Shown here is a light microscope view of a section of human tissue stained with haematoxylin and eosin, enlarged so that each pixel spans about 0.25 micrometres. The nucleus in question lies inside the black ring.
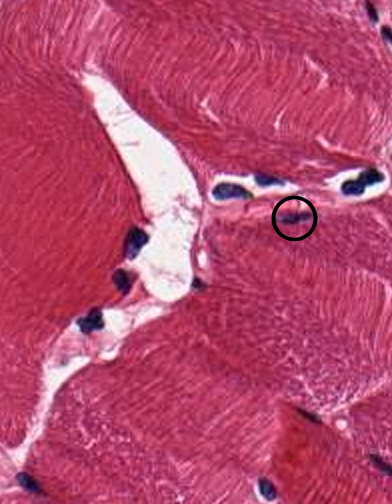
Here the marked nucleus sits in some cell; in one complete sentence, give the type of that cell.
The nucleus with the mark belongs to a skeletal muscle fibre.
